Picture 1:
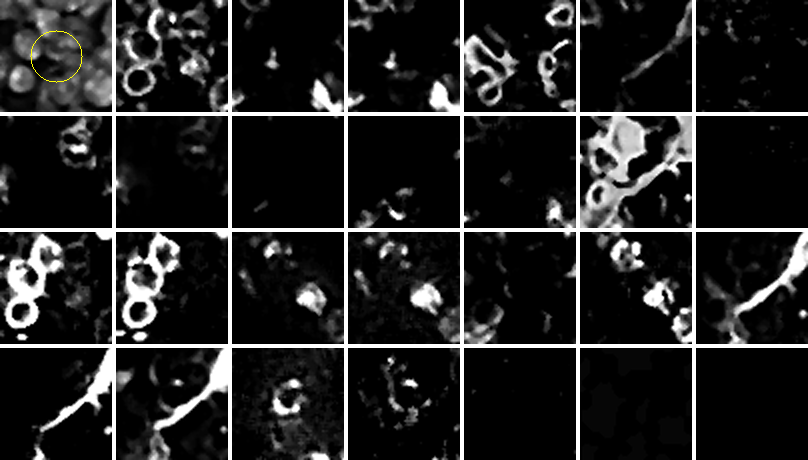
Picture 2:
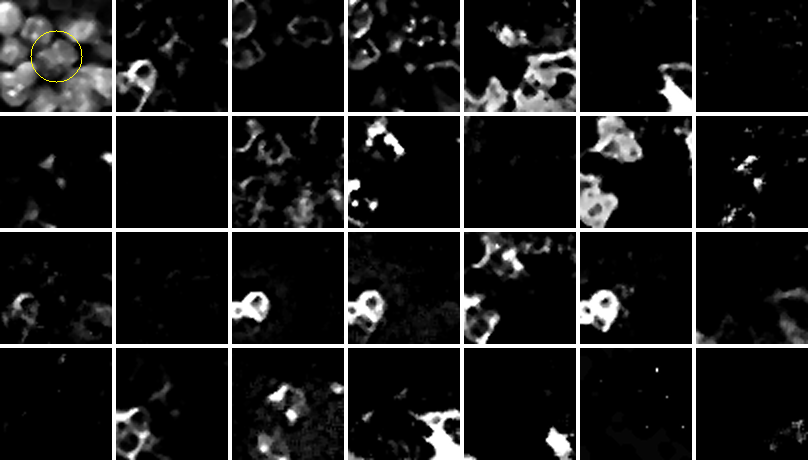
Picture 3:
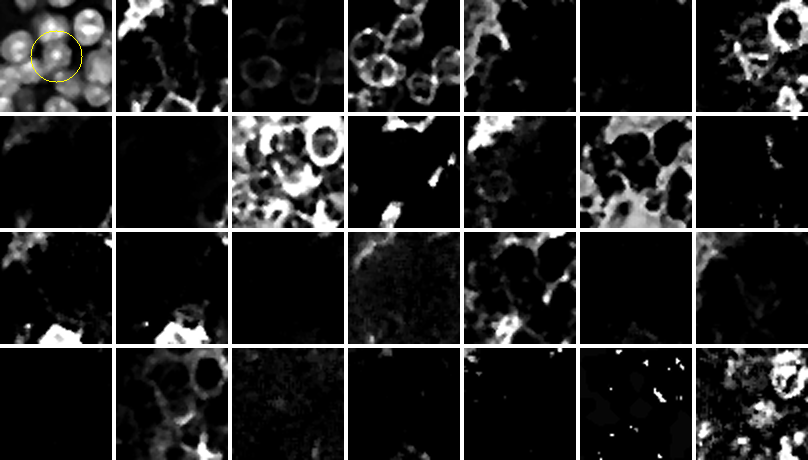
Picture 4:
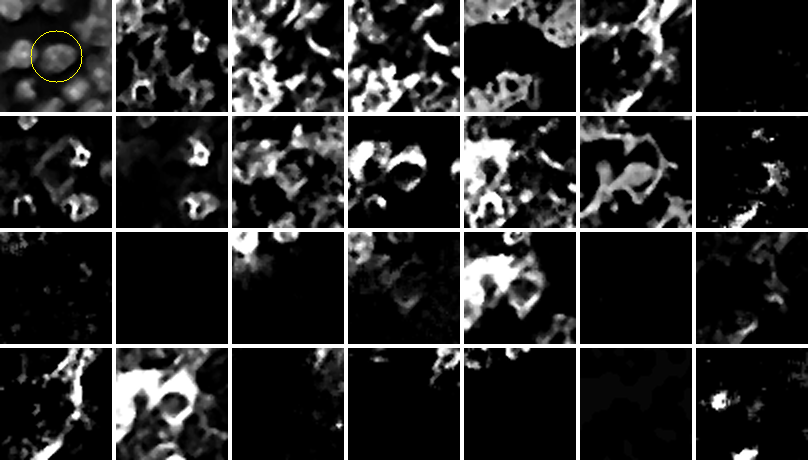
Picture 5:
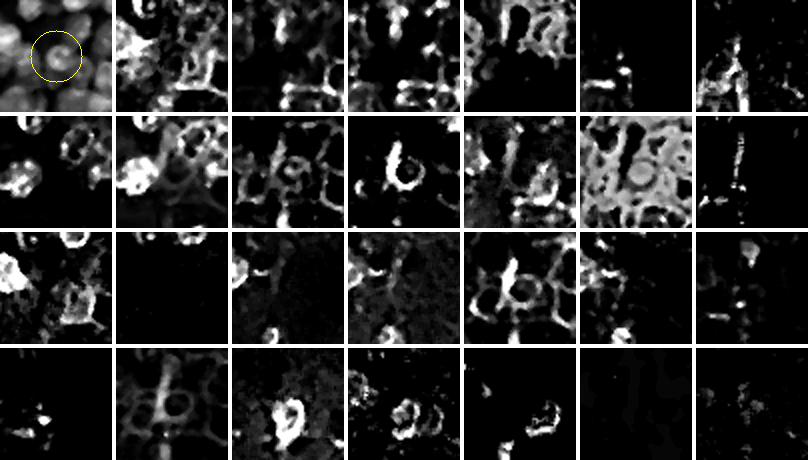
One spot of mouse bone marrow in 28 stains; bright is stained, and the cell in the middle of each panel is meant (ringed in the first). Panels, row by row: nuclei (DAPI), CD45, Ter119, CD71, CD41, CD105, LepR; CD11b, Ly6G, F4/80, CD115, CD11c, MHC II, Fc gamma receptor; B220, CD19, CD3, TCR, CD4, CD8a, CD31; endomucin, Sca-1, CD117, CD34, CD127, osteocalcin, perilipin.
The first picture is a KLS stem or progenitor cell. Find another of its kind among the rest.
Picture 5.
